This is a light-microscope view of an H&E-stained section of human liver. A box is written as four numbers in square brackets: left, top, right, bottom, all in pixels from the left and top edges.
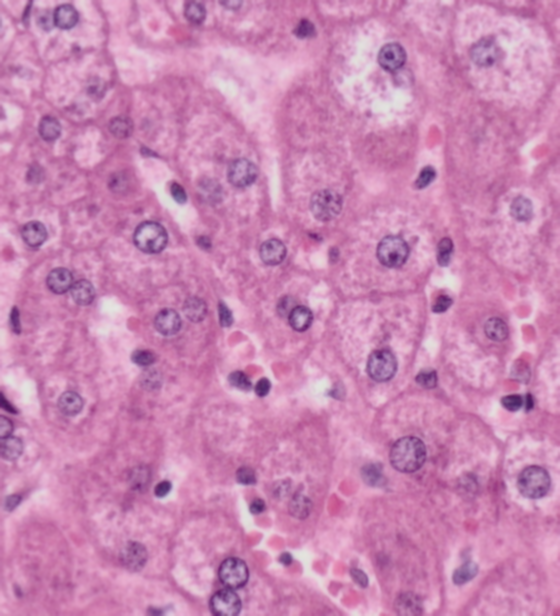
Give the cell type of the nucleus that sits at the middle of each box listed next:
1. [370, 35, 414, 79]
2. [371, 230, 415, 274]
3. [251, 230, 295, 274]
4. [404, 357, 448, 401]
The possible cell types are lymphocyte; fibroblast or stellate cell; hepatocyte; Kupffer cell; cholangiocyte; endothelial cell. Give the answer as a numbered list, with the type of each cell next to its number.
1. hepatocyte
2. hepatocyte
3. hepatocyte
4. endothelial cell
